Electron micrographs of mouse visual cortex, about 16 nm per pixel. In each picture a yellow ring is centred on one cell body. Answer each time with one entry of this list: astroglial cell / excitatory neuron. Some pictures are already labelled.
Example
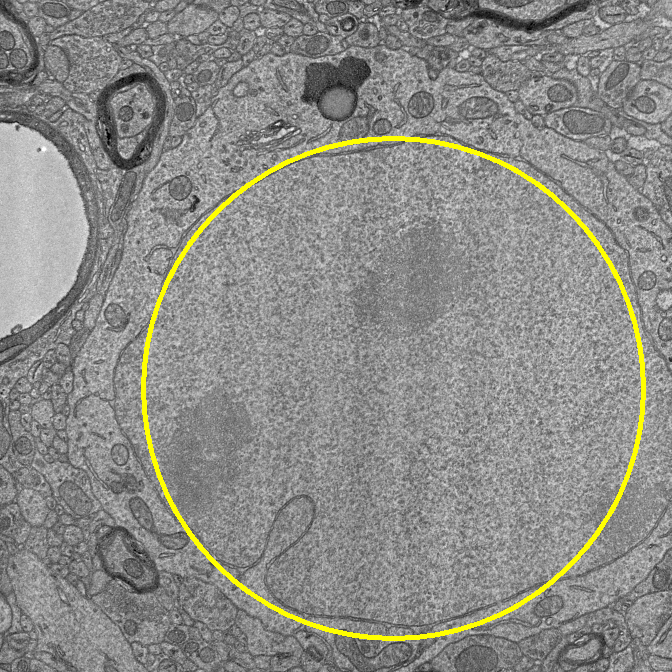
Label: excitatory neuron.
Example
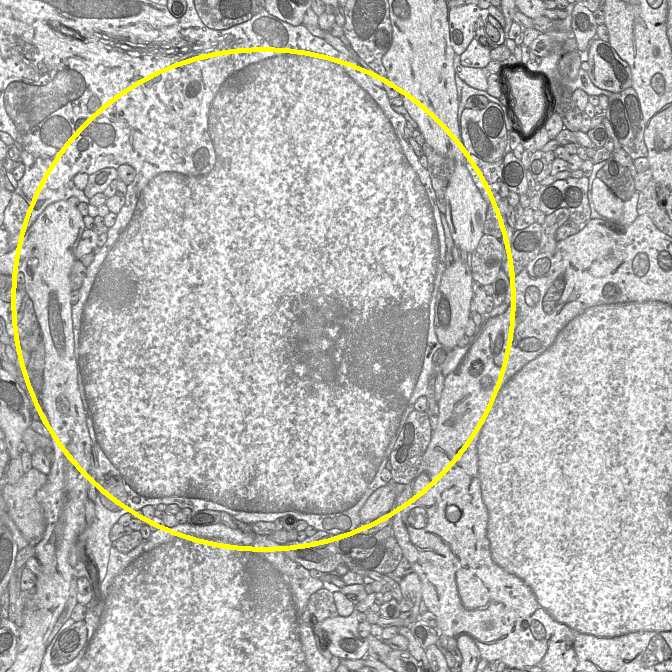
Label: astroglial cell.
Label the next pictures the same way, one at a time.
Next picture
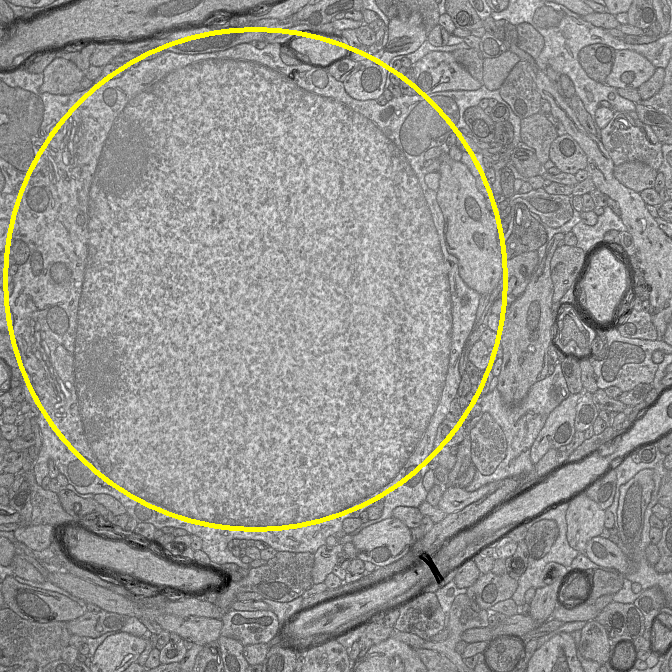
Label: astroglial cell.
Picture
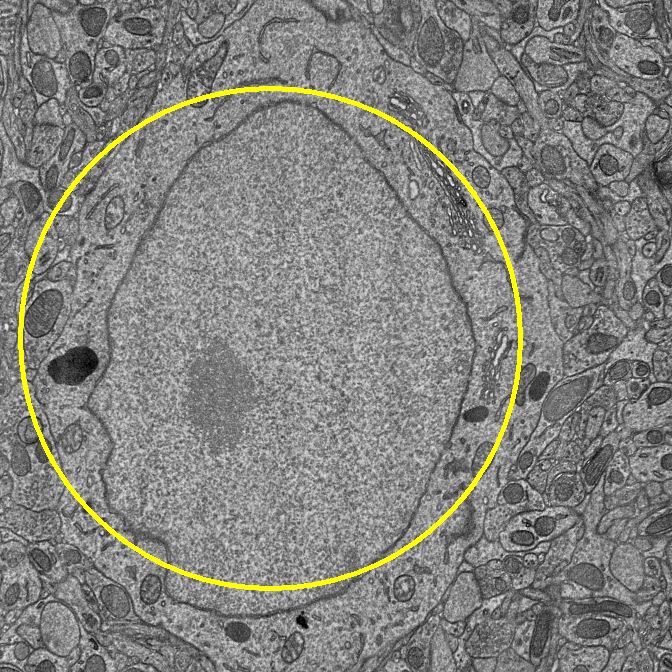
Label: excitatory neuron.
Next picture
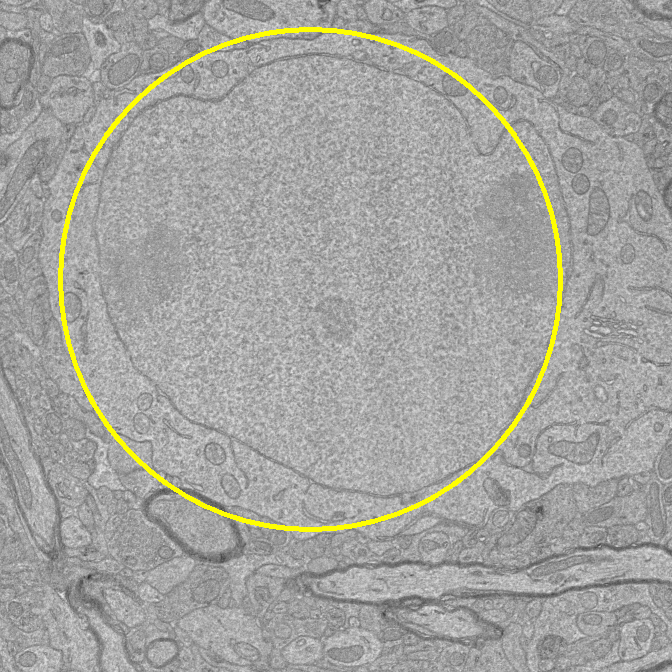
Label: excitatory neuron.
